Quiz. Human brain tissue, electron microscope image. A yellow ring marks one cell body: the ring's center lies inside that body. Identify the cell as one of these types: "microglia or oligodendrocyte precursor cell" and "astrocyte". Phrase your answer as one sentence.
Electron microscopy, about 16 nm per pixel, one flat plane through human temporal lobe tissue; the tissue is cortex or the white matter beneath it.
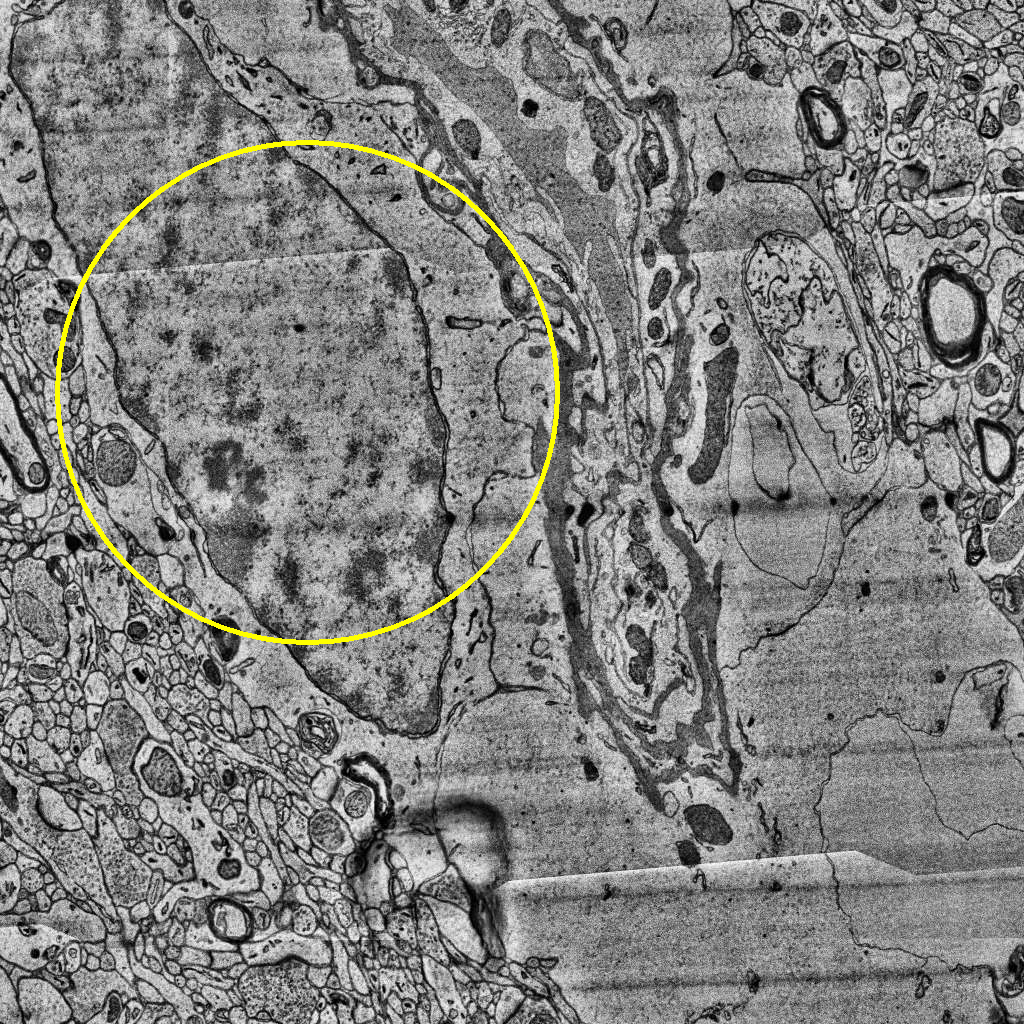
At the center of the ring sits a microglial cell or oligodendrocyte precursor cell.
